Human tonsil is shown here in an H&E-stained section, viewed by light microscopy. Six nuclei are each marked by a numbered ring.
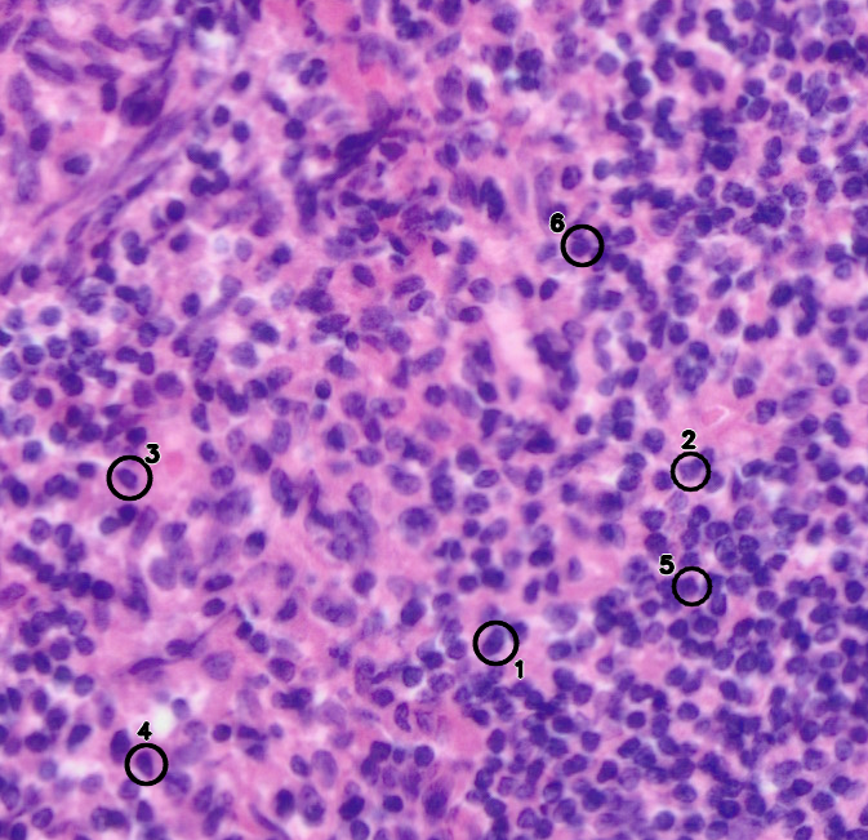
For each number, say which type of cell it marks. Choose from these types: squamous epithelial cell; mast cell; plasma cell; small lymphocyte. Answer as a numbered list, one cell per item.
1. small lymphocyte
2. small lymphocyte
3. plasma cell
4. plasma cell
5. small lymphocyte
6. small lymphocyte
